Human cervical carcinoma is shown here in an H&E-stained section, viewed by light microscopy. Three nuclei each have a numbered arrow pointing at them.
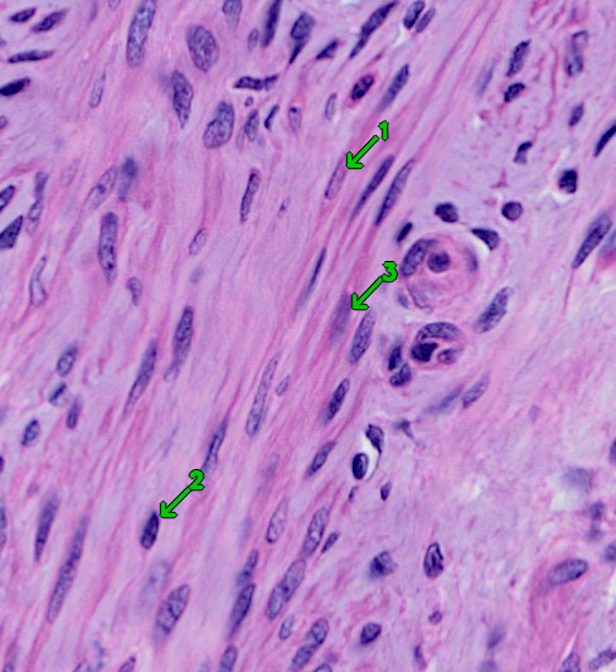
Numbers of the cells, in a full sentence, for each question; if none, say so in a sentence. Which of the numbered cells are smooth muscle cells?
In this section, the cells numbered 1 and 3 are smooth muscle cells.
